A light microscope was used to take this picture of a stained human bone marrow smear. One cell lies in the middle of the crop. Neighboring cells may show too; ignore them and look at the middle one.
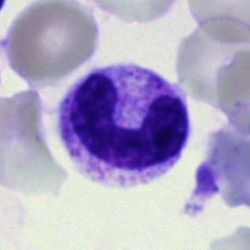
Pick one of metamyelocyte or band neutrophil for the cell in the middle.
band neutrophil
